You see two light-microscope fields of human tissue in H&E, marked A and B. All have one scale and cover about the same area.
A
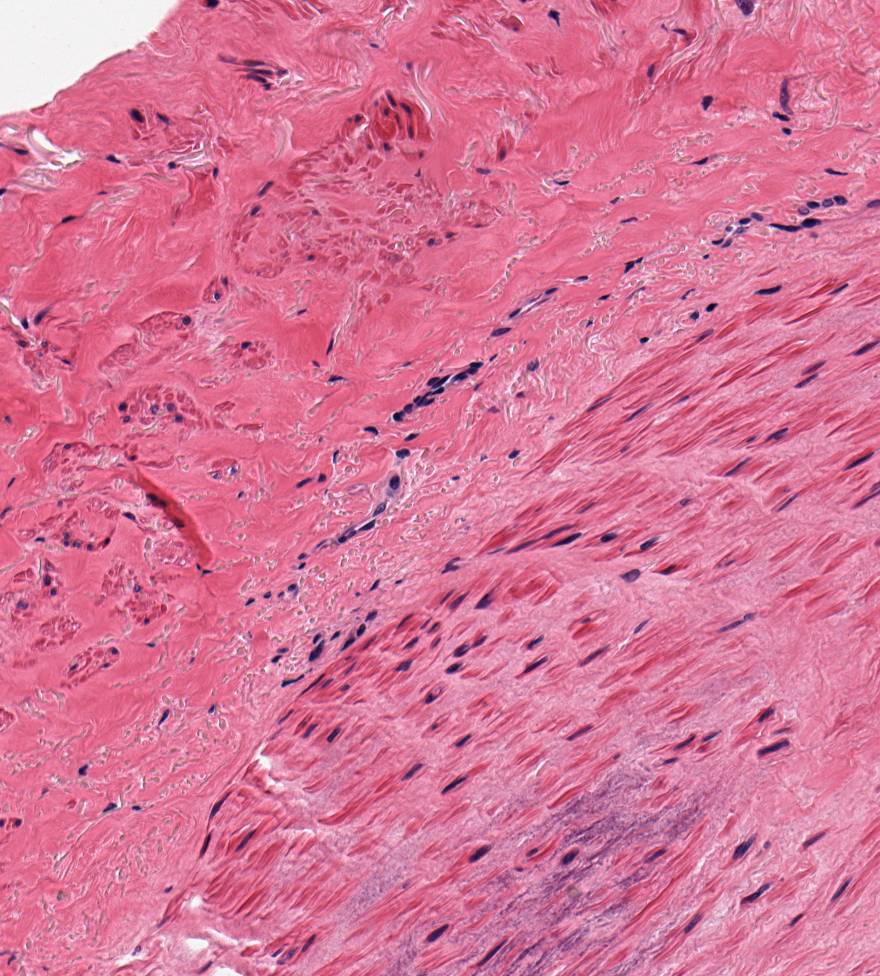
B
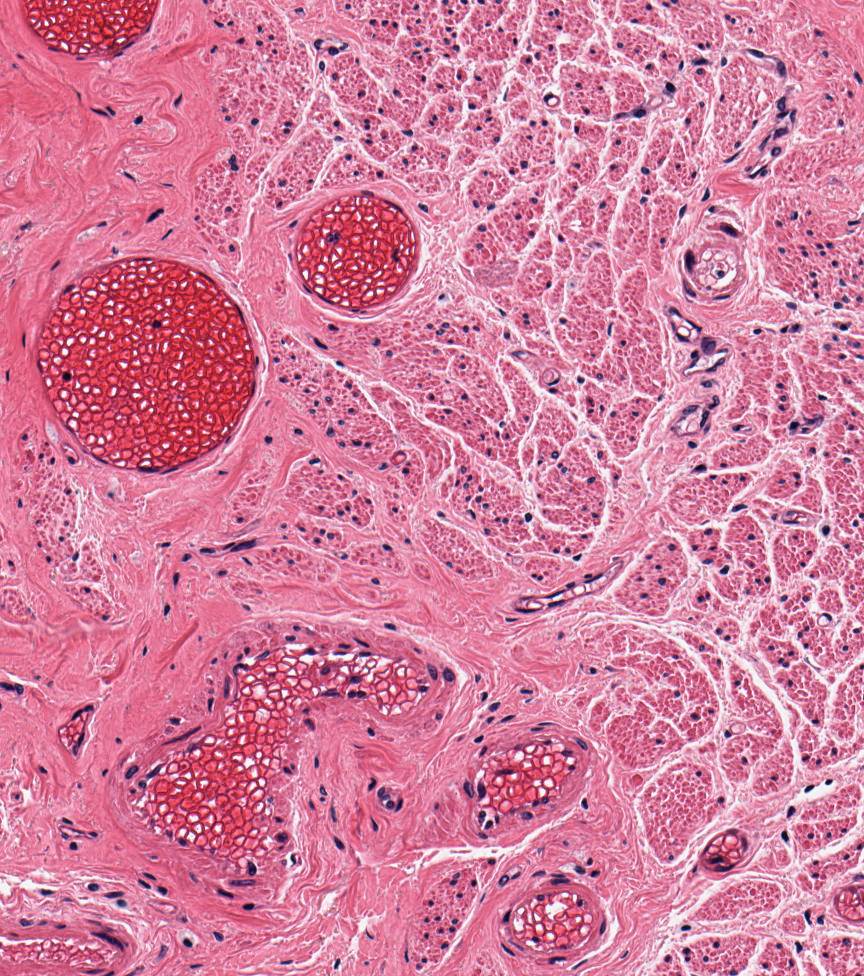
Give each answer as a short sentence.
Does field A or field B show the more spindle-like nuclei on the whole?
It is field A whose nuclei are the more elongated.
